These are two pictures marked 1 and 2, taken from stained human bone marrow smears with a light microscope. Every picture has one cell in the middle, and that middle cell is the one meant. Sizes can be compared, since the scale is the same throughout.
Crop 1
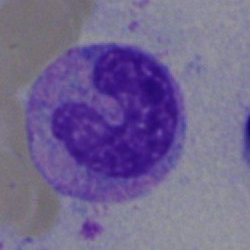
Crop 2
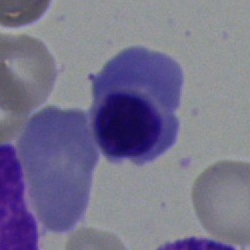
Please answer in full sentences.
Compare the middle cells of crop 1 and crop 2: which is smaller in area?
The cell in crop 2 is smaller; the one in crop 1 has about 2.5 times its area.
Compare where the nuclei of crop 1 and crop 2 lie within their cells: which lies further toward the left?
The nucleus in crop 2 lies further toward the left of its cell.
